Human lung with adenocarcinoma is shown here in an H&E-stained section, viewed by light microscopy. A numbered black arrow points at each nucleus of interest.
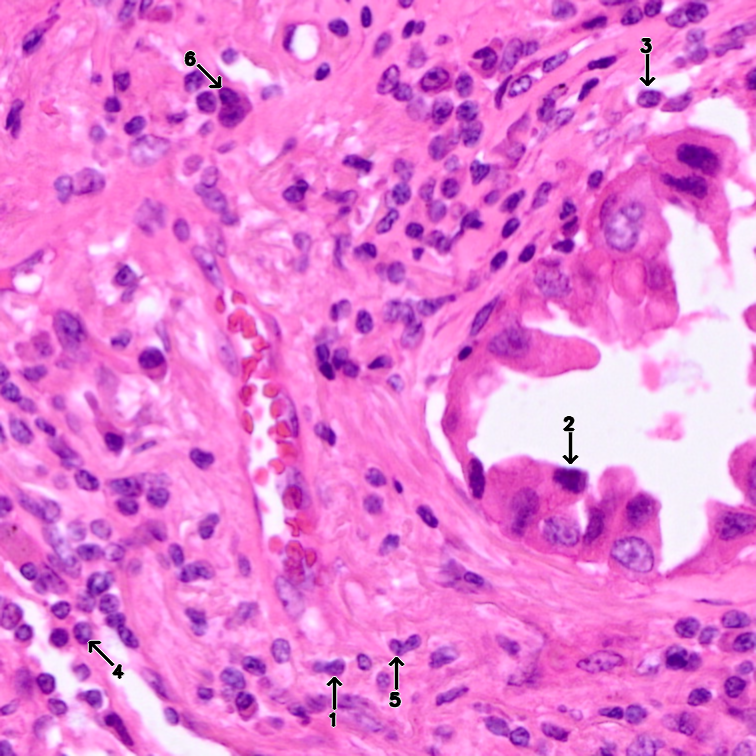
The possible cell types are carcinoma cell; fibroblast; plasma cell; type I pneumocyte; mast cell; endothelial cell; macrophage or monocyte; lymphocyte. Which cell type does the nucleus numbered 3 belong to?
lymphocyte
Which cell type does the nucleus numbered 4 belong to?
lymphocyte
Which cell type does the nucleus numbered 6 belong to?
plasma cell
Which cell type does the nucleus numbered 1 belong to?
lymphocyte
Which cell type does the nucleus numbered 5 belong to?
lymphocyte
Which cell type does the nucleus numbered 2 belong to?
carcinoma cell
